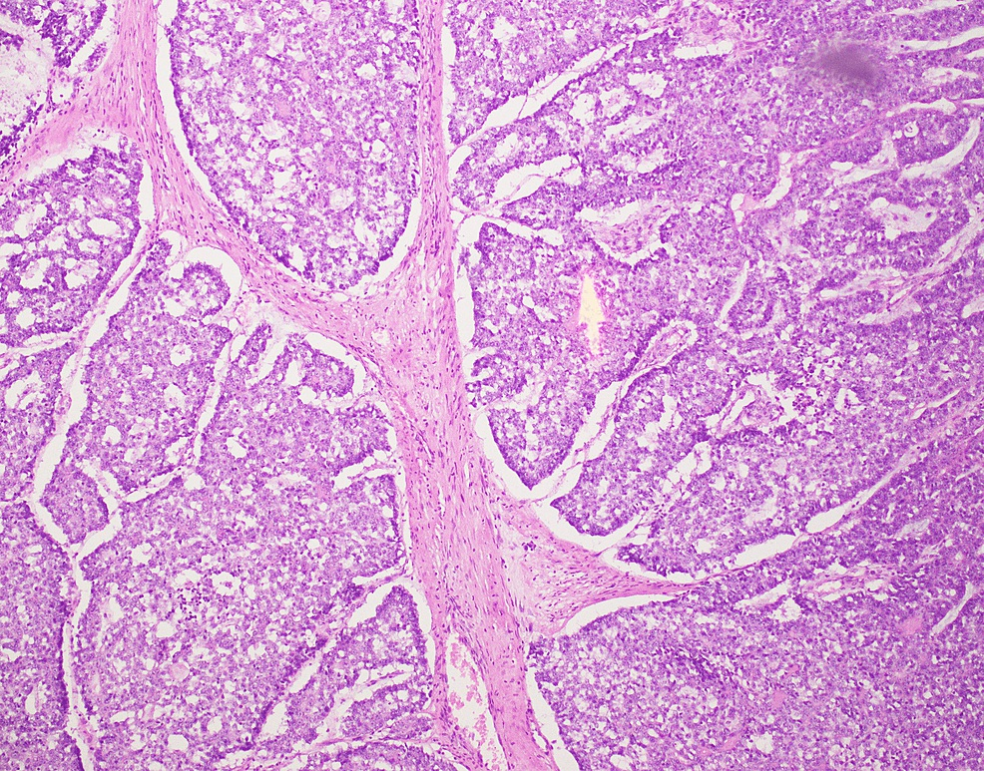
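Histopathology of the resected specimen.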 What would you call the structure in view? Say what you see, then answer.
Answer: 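Multilobulated neoplasm. Large nests of densely packed purple cells fill most of the field. Bands of pink fibrous tissue divide the cell masses into separate lobules. Clefts separate the cell lobules from the fibrous bands.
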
